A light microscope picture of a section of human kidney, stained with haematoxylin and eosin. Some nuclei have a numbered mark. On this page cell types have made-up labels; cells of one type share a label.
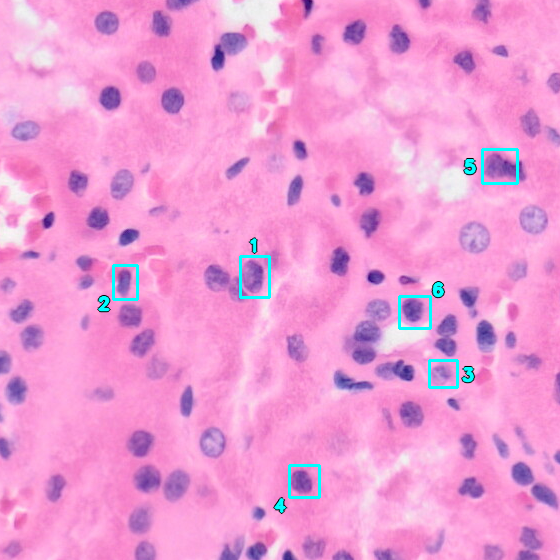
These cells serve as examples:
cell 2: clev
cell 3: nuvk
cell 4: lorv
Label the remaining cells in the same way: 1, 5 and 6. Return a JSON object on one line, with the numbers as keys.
{"1": "lorv", "5": "lorv", "6": "nuvk"}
